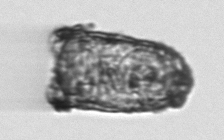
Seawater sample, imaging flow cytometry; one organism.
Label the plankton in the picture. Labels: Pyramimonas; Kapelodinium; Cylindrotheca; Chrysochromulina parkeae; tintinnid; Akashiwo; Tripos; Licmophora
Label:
tintinnid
